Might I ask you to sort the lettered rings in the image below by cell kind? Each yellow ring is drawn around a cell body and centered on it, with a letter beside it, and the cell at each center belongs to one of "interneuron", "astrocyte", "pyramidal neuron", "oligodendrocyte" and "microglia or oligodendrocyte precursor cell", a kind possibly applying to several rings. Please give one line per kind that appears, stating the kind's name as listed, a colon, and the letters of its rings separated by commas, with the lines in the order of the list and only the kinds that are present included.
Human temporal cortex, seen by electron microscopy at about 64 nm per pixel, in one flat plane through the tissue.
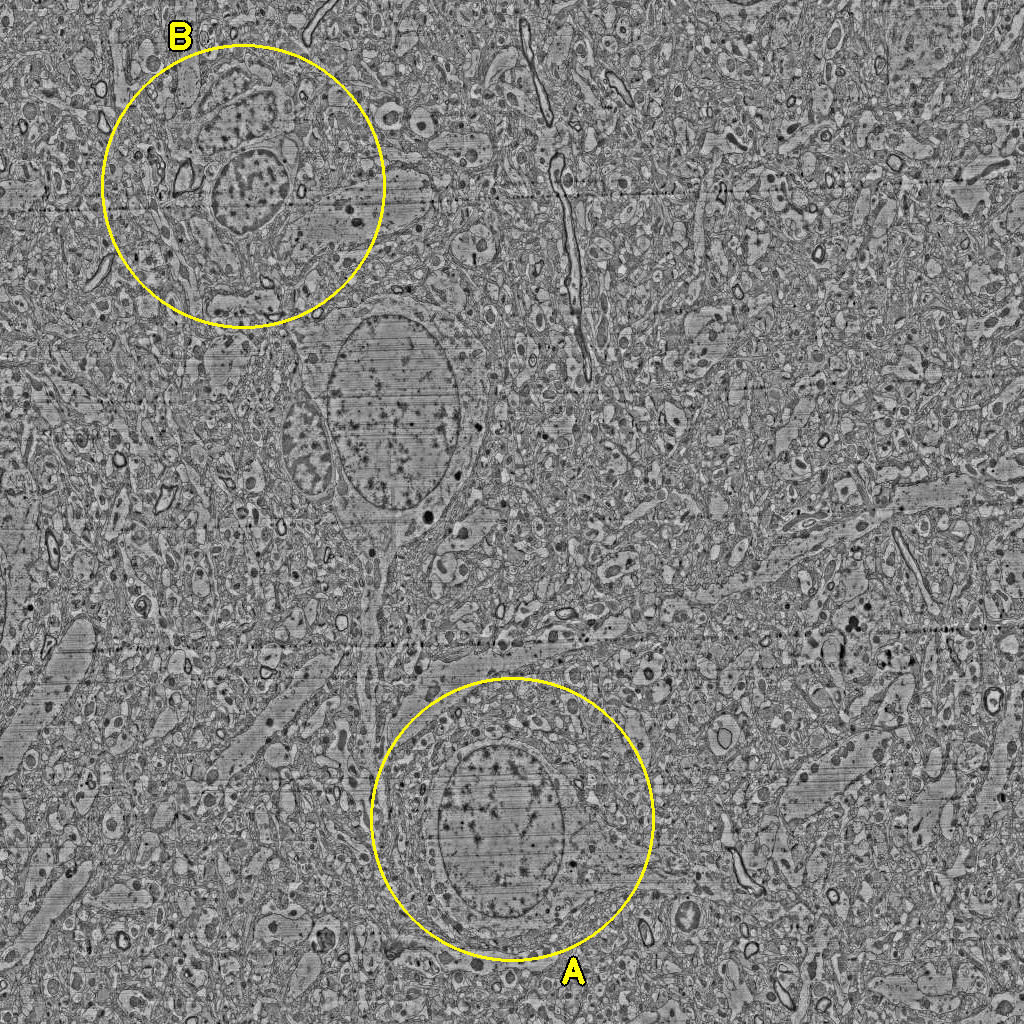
pyramidal neuron: A
microglia or oligodendrocyte precursor cell: B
